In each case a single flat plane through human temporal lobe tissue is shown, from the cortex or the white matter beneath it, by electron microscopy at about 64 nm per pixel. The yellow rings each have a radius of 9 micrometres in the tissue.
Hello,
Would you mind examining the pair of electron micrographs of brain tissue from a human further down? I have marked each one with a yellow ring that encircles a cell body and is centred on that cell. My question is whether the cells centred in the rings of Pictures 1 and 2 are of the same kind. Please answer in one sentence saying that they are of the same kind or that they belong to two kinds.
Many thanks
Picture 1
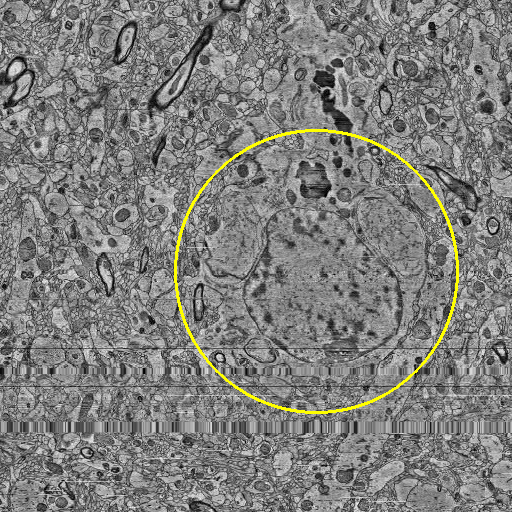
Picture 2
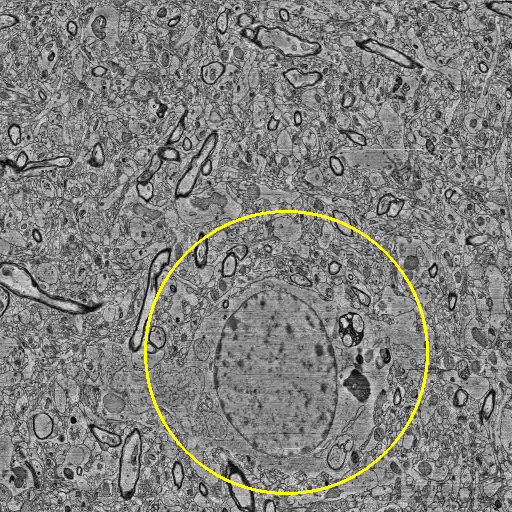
In Pictures 1 and 2, the cells at the heart of the rings are of the same kind.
